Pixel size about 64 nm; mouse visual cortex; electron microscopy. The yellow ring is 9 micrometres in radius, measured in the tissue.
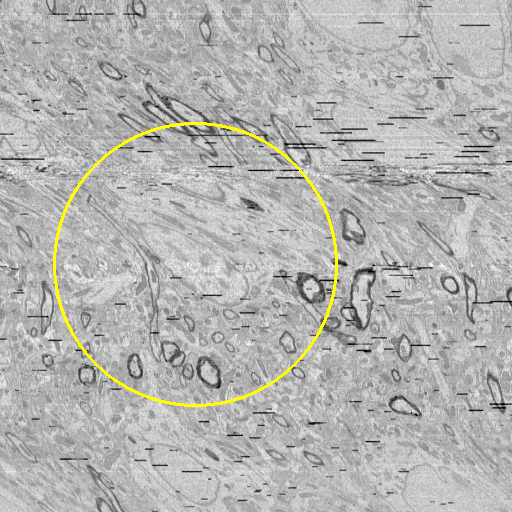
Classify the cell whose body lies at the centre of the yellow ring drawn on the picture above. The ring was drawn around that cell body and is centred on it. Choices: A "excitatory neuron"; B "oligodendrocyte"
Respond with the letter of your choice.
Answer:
B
